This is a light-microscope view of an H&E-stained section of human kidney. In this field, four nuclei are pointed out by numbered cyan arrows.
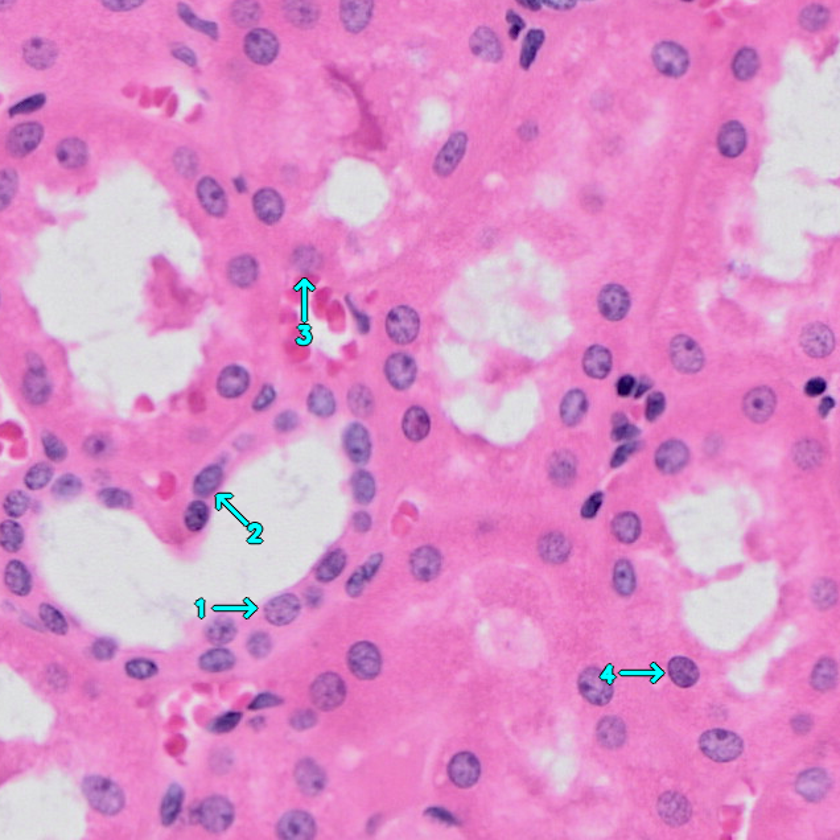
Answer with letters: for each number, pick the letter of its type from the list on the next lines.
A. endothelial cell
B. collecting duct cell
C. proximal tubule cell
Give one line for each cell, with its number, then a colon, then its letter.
1: B
2: B
3: C
4: C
